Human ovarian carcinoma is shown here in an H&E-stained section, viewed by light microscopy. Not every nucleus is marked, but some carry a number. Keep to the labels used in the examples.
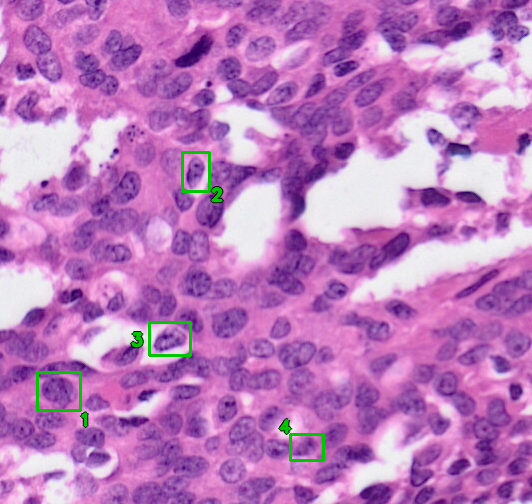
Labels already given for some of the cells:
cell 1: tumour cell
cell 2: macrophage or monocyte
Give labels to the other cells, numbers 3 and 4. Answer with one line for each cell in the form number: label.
3: macrophage or monocyte
4: tumour cell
